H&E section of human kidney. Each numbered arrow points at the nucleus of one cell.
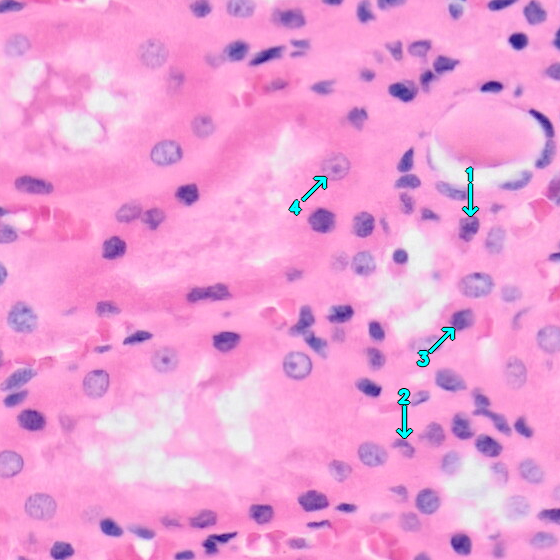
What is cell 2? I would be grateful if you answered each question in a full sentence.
The numbered cell 2 in this field is a loop of Henle or distal tubule cell.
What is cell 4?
The cell marked with the number 4 is a proximal tubule cell.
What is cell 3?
Cell 3 is classified as a loop of Henle or distal tubule cell.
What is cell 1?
Cell 1 of the marked set is a loop of Henle or distal tubule cell.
